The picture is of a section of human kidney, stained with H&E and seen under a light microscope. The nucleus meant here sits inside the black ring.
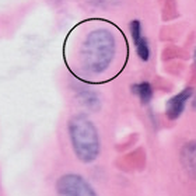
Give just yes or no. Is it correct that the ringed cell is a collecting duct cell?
yes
